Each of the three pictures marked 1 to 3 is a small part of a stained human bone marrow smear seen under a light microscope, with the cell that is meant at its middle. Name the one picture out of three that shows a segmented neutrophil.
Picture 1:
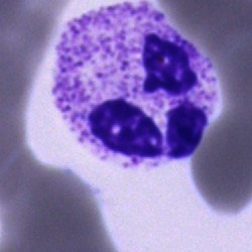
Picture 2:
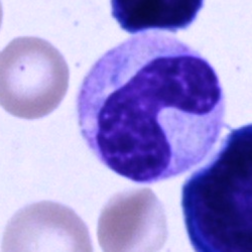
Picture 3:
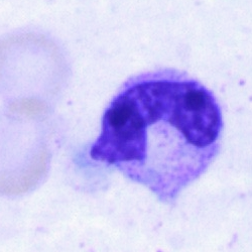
1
